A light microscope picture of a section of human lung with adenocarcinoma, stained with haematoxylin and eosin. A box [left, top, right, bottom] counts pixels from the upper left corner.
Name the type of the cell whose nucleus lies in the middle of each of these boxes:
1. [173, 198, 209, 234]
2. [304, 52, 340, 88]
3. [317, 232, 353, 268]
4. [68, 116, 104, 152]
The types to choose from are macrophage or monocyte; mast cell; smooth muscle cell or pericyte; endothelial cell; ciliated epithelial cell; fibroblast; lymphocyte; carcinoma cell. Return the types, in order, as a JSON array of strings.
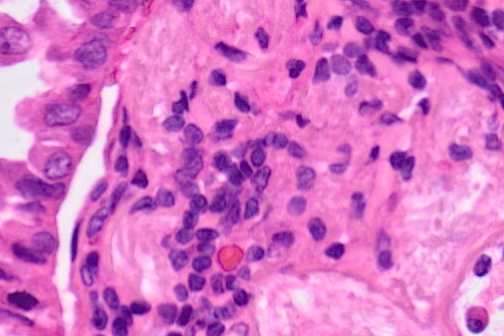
["lymphocyte", "lymphocyte", "lymphocyte", "carcinoma cell"]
